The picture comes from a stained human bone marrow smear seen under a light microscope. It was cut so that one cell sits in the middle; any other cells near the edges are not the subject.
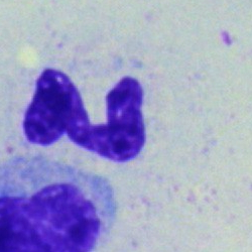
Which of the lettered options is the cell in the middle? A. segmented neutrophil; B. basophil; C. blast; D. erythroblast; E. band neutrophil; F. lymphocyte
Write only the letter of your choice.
A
